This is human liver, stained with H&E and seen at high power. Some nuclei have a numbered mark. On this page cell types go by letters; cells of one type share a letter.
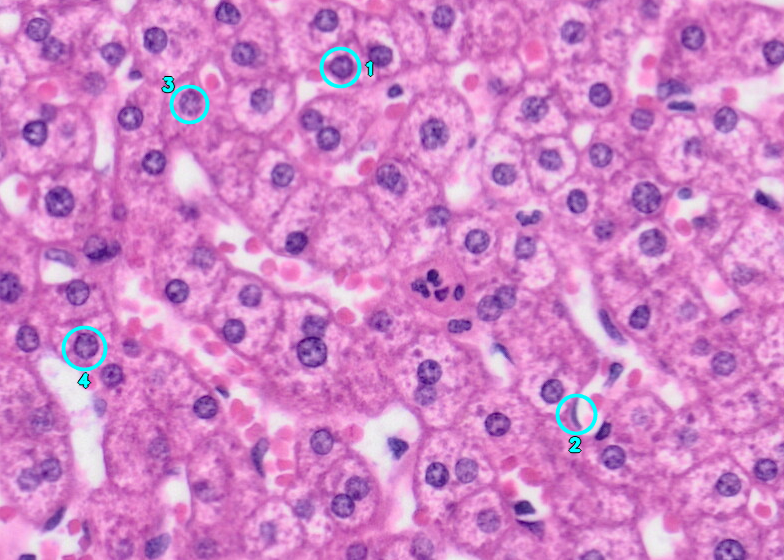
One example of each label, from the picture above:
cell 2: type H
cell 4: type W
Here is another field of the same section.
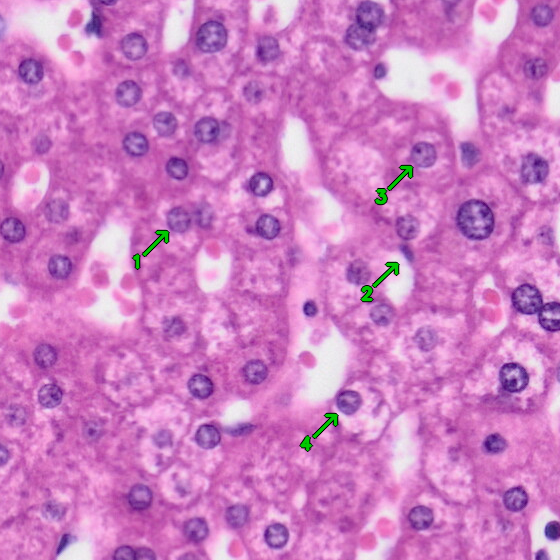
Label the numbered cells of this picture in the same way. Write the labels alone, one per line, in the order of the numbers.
type W
type H
type W
type W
